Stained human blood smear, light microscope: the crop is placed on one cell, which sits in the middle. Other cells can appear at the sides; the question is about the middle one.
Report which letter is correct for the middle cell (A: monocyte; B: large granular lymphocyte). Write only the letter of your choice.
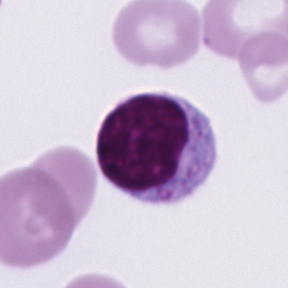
B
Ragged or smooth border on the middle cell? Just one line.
Its surface contour is regular and smooth, without any protrusions.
